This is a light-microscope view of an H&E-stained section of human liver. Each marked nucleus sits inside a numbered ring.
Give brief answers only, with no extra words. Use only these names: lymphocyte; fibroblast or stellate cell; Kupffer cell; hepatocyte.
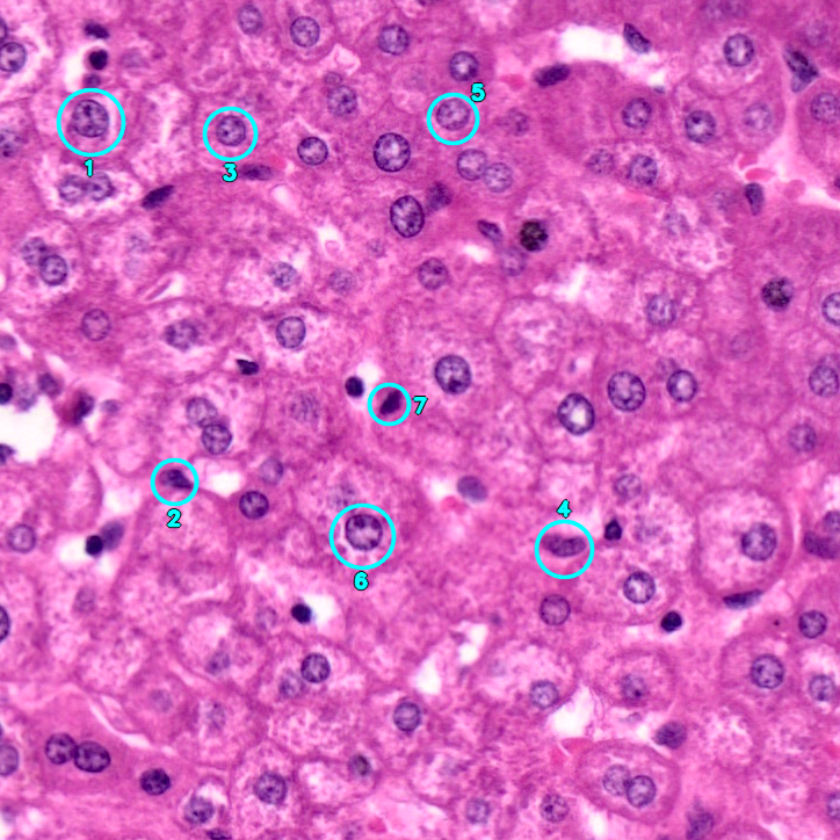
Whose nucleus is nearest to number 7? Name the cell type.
lymphocyte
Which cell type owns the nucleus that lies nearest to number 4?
fibroblast or stellate cell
